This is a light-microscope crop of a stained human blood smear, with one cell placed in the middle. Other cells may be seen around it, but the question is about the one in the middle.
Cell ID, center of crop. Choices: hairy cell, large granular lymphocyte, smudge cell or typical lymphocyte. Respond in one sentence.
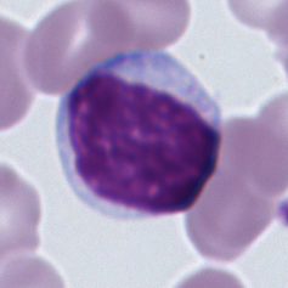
Occupying the centre of the crop is a large granular lymphocyte.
